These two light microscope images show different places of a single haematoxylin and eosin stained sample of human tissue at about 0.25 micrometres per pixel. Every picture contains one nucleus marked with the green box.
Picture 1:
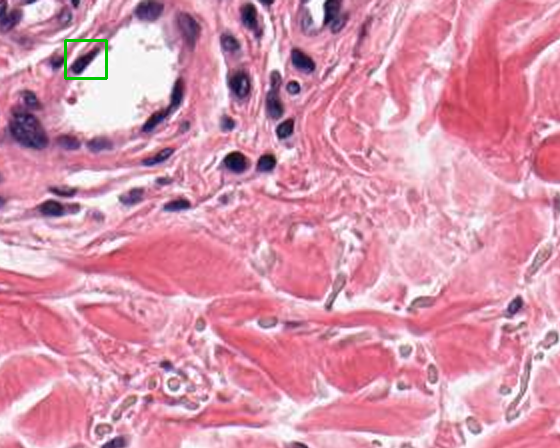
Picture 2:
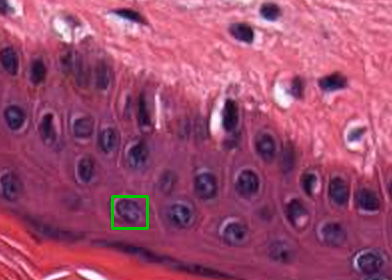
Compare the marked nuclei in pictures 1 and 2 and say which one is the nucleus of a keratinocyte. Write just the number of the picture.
2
